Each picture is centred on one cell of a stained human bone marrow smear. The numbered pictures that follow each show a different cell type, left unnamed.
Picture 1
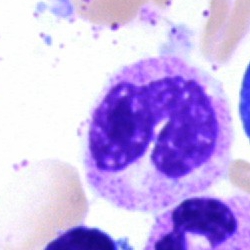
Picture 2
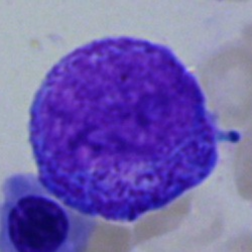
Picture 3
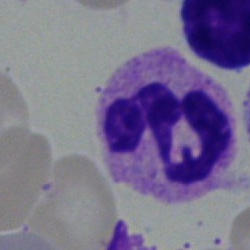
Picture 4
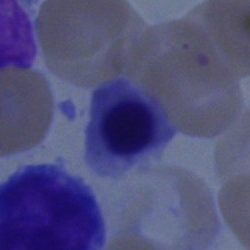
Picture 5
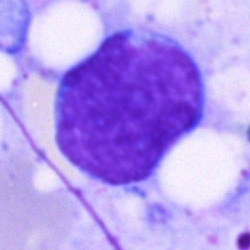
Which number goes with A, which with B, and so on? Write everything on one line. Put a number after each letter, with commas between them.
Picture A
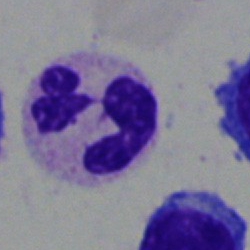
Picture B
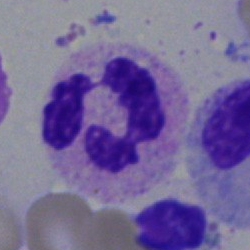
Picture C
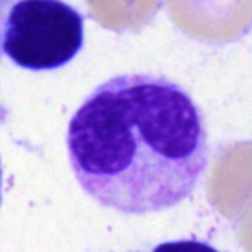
A 3, B 3, C 1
